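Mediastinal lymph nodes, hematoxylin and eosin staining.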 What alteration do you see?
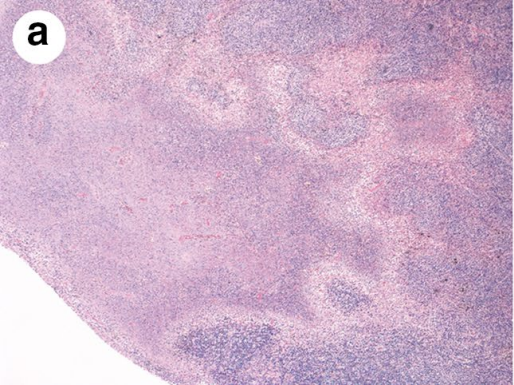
Irregular necrotic areas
